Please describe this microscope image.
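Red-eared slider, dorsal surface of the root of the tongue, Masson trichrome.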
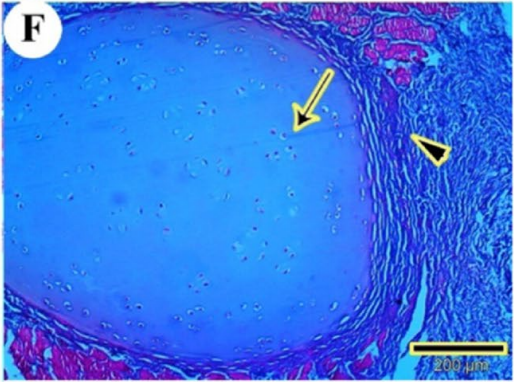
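The cartilage fills most of the field as a large smooth area of homogeneous blue matrix. Around the cartilage runs a band of dense fibrous tissue with flattened, elongated nuclei, the perichondrium, stained blue. Beyond it lie loose blue-staining connective tissue and red-stained bundles of skeletal muscle fibres at the margins.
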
